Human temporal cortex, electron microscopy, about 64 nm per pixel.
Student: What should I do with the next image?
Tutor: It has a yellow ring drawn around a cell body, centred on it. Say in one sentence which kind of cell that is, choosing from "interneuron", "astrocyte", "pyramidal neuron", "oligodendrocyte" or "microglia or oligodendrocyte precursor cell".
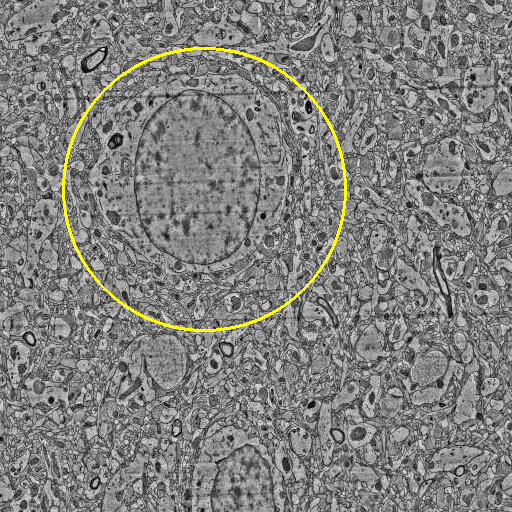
The ring's centre is occupied by a pyramidal neuron.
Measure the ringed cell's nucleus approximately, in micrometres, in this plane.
In this plane, roughly 11 by 8 micrometres.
